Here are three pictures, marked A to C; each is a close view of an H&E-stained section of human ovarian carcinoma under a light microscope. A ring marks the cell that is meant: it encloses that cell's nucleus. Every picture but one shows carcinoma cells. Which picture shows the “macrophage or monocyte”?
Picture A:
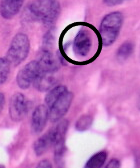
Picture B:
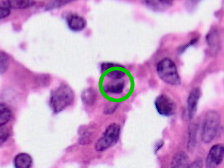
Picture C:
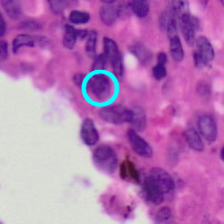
B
